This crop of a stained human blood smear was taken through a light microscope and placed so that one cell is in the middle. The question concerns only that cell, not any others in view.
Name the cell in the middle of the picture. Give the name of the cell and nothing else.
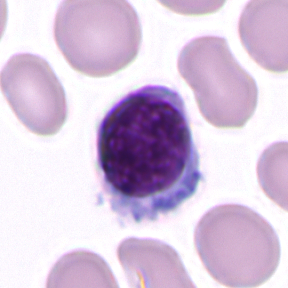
plasma cell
